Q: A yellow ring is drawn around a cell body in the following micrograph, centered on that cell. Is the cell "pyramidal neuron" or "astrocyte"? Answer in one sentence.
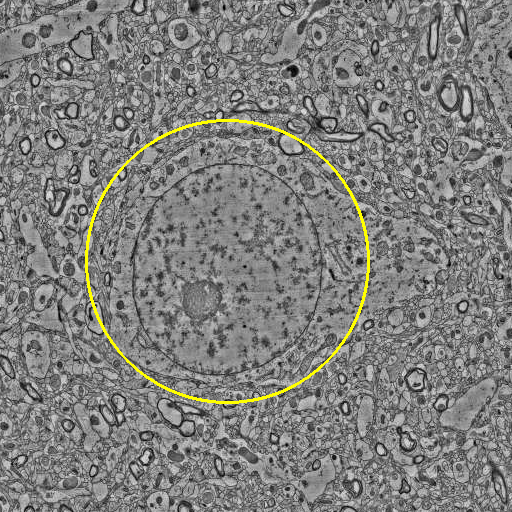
The cell in the center of the ring is a pyramidal neuron.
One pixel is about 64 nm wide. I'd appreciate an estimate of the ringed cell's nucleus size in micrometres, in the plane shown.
About 13 micrometres across in this plane.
